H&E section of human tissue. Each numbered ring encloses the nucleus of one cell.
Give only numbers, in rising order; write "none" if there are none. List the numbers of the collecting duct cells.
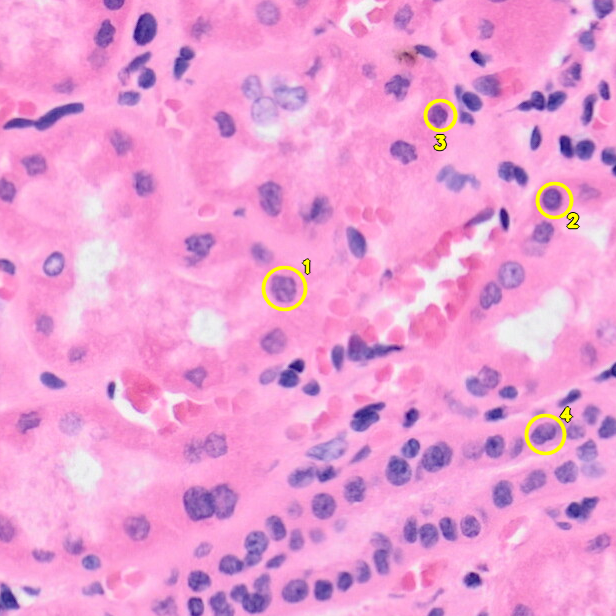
4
